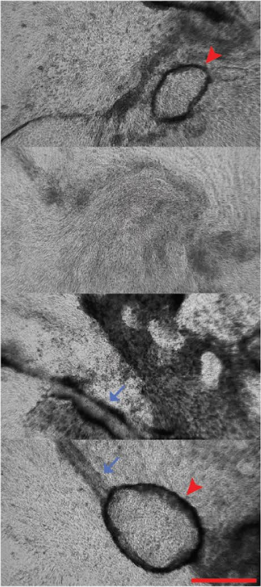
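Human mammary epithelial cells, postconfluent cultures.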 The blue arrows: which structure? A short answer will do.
Tubelike structures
